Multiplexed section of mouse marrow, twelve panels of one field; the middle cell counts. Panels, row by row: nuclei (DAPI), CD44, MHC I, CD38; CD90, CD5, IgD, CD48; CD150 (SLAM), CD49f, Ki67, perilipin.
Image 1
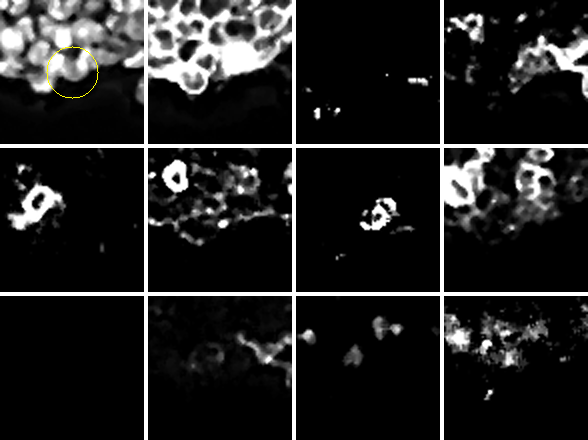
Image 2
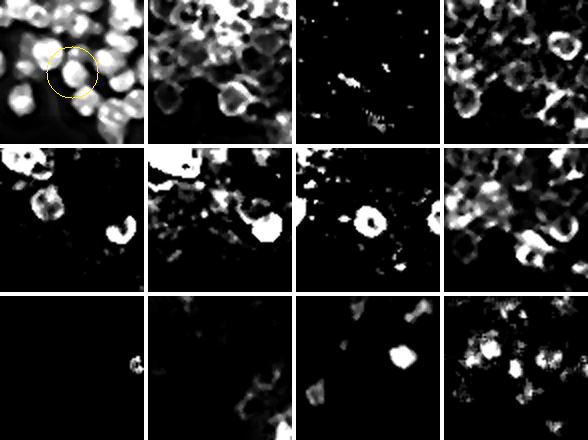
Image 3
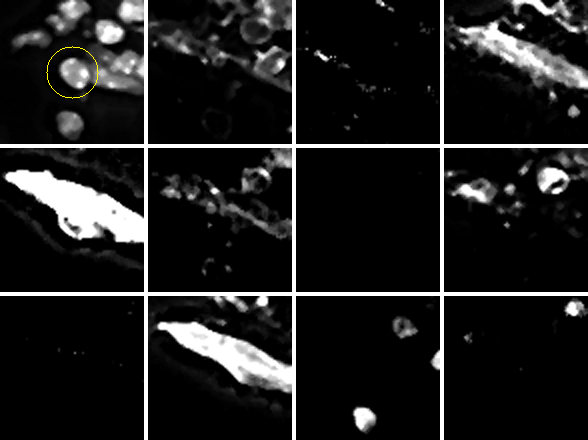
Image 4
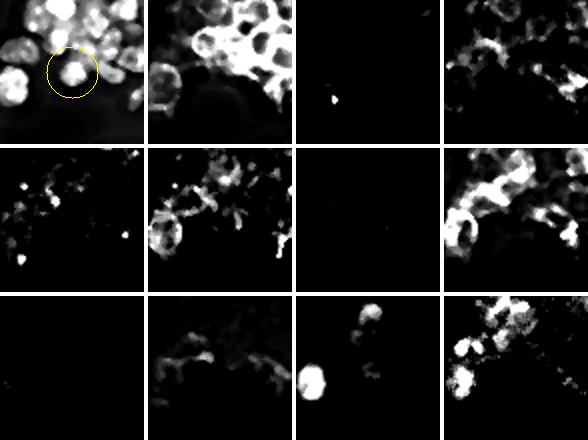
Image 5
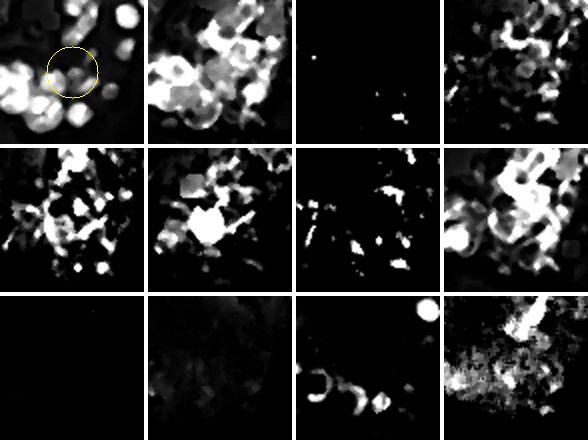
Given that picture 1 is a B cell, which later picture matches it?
2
